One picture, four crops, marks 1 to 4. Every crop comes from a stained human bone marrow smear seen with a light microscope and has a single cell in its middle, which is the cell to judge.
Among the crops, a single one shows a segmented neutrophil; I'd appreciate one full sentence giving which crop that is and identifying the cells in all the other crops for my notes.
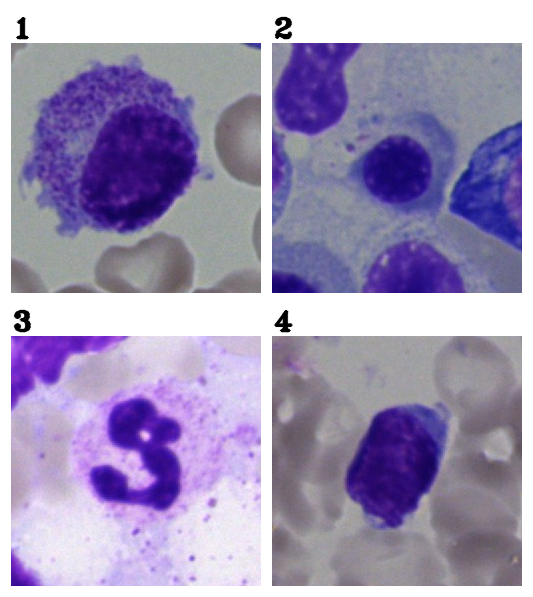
There is a segmented neutrophil in crop 3, while crop 1 is a myelocyte, crop 2 is a normoblast and crop 4 is a lymphocyte.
